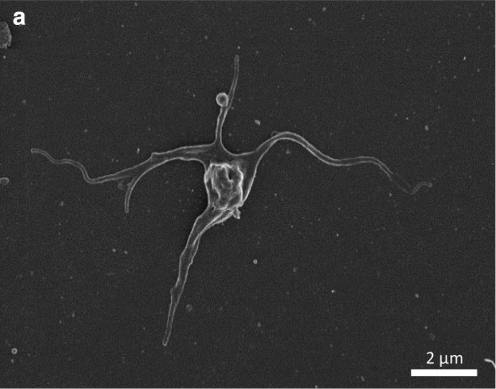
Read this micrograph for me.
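This is a single platelet seen by scanning electron microscopy, lying on a flat, smooth substrate. The central body is small, only about a micrometre or two across, with a slightly wrinkled surface. From it radiate several long, slender processes, some several micrometres long, a few of them branching or ending in small knobs, giving the cell a star- or spider-like outline. Aside from this one cell the field is nearly empty, with only scattered tiny particles on the background.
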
